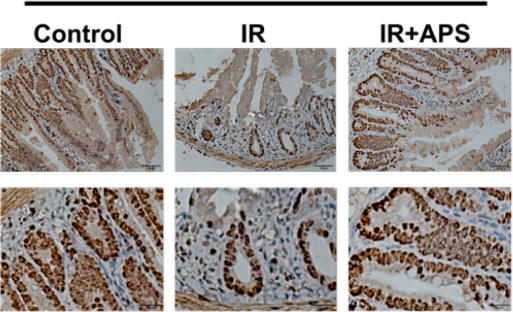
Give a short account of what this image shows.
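Small intestinal mucosa with villi and crypts, counterstained blue, where many epithelial nuclei are stained brown. In the first and third columns the crypts at the base of the mucosa are numerous and tightly packed, and most of their epithelial nuclei are brown, giving a dense brown band along the crypt epithelium; brown nuclei also extend up into the villus epithelium. In the middle column the crypts are fewer and smaller, appearing as scattered round profiles within bluish stroma, and fewer of their nuclei are brown, though the remaining stained nuclei are strongly coloured.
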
